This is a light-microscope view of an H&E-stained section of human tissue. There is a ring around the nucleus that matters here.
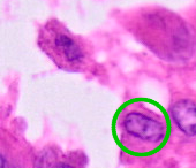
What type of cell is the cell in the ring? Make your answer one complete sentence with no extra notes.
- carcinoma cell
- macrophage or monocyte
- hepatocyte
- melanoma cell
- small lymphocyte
Among the cells in this section, the cell in the ring is a macrophage or monocyte.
